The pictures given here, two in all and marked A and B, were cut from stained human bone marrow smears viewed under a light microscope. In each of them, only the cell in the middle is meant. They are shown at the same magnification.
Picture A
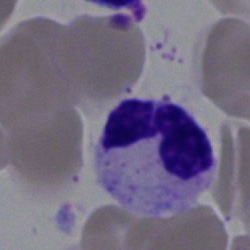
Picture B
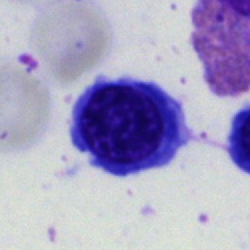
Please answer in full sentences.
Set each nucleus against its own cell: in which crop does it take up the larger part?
The nucleus fills more of the cell in picture B than in picture A.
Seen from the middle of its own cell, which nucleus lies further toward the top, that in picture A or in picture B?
The nucleus in picture A lies further toward the top of its cell.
